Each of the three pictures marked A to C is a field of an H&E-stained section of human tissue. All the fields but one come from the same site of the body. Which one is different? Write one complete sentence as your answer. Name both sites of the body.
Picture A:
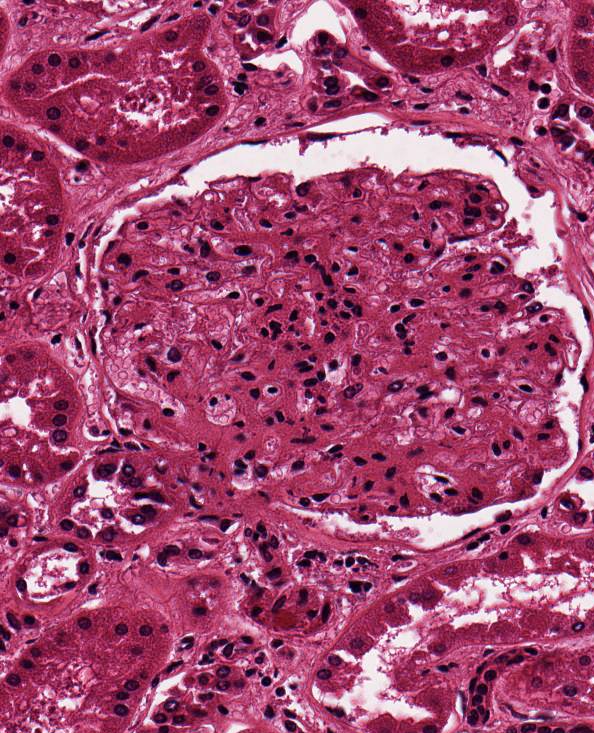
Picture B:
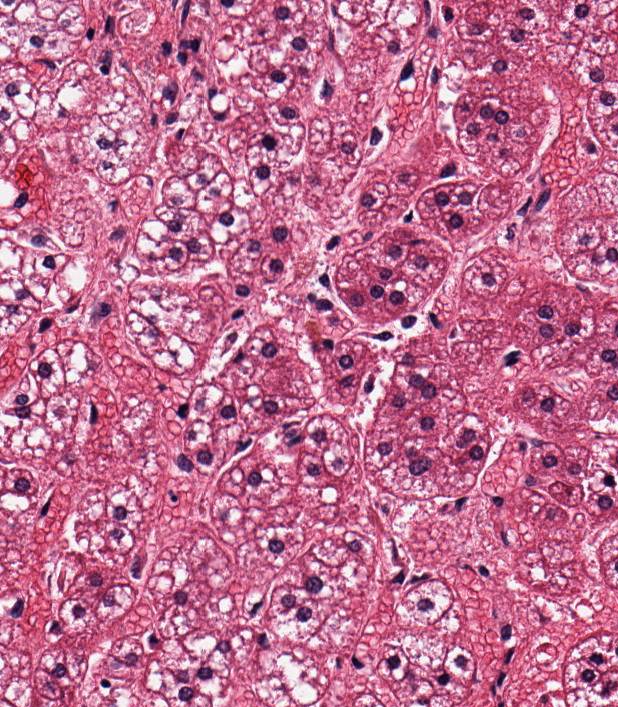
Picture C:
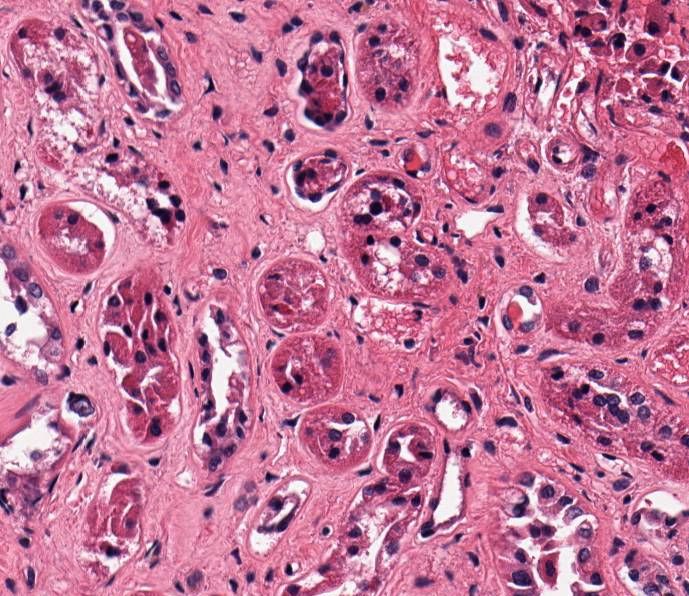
All pictures except B come from the renal cortex; picture B comes from the adrenal gland.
